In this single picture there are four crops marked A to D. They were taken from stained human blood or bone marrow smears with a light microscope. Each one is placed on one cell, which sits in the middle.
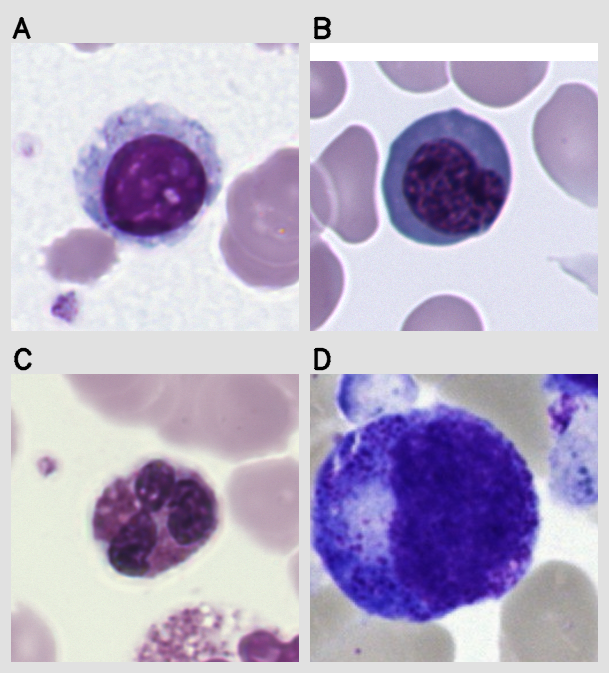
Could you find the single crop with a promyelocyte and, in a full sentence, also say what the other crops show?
Regarding crop D, it shows a promyelocyte, while crop A is a plasma cell, crop B is an erythroblast and crop C is an eosinophil.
